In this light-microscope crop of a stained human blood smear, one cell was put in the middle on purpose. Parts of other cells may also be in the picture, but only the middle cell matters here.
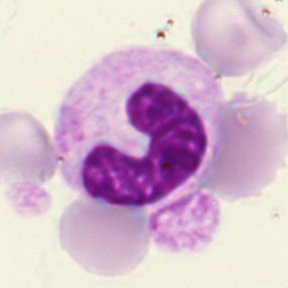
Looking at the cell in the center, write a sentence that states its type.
Centrally within this crop lies a band neutrophil.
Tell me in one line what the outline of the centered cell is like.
Nothing juts out from the margin, which is smooth throughout.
